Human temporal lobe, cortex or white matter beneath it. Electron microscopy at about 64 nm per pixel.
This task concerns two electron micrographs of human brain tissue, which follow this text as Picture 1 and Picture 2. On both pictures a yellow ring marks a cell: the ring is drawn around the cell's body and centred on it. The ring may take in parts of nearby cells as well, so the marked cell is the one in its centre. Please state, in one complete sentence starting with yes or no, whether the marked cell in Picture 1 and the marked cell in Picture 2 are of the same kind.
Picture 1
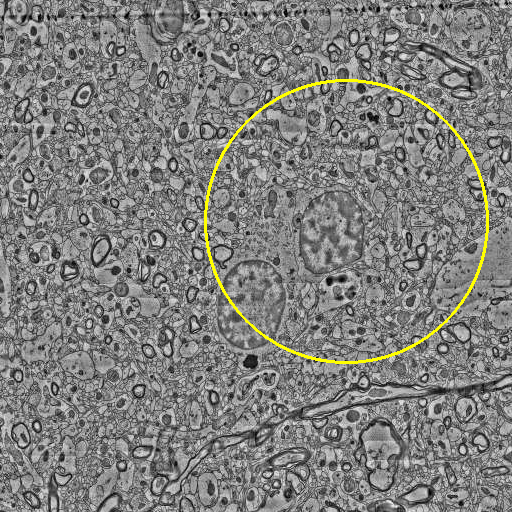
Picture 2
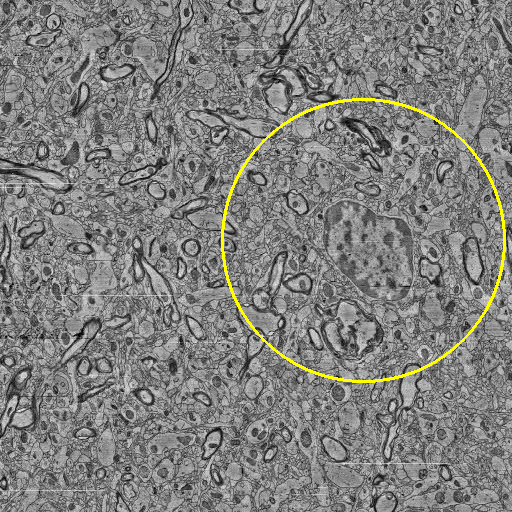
No, the marked cells in the two pictures are of two kinds.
